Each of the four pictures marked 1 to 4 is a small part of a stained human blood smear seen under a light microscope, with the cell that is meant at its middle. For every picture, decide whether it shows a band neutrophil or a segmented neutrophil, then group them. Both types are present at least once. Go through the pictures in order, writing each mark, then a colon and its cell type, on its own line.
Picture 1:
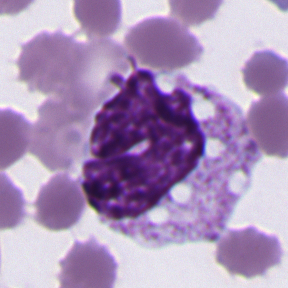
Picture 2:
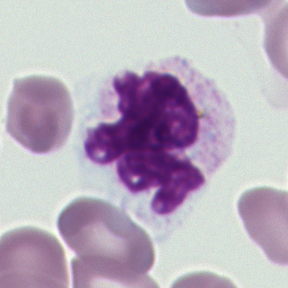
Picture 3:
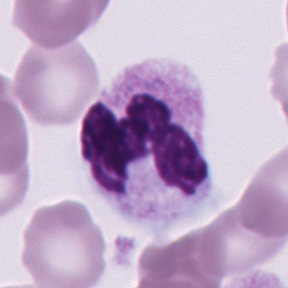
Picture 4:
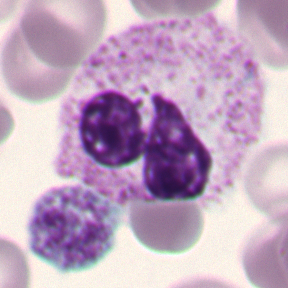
1: band neutrophil
2: segmented neutrophil
3: segmented neutrophil
4: segmented neutrophil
